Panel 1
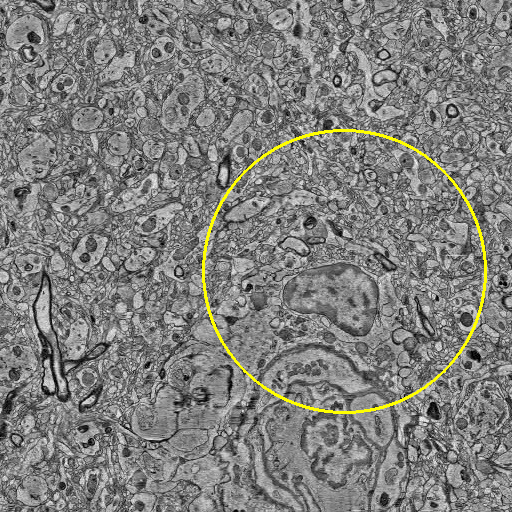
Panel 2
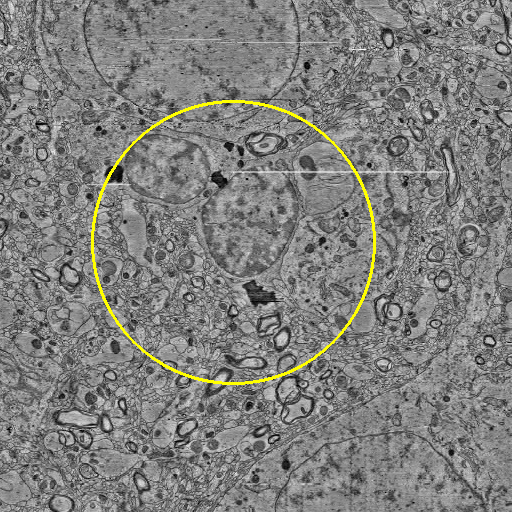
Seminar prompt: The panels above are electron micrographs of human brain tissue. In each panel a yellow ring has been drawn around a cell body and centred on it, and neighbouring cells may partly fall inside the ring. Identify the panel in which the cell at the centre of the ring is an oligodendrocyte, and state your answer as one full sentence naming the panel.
Panel 2 has it at the centre of its ring.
